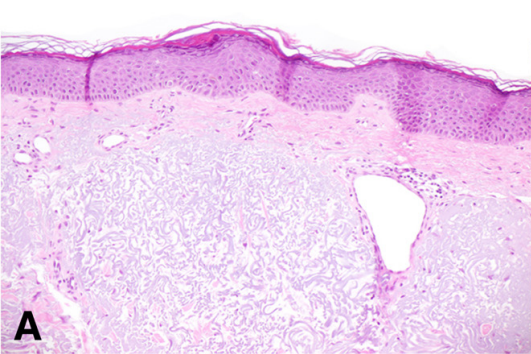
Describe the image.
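Skin is seen with a stratified squamous epidermis of keratinocytes in orderly layers under a thin basket-weave keratin layer, its nuclei evenly spaced and without obvious atypia. Beneath it the dermis is pale and largely replaced by greyish-blue, finely fibrillar, amorphous material rather than pink collagen bundles. A few thin-walled vessels with sparse cells around them lie in this altered dermis. This picture fits an unremarkable epidermis overlying marked actinic elastosis of the dermis.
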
